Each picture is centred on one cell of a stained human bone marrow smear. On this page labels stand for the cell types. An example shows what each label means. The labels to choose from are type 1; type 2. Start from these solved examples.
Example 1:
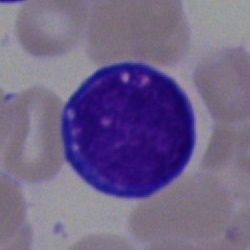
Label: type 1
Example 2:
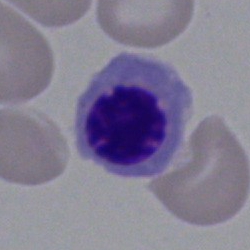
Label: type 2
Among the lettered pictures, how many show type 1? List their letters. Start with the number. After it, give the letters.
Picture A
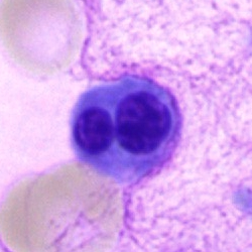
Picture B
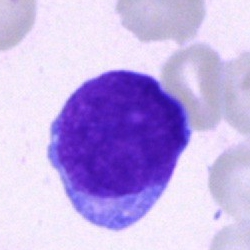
1, namely B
